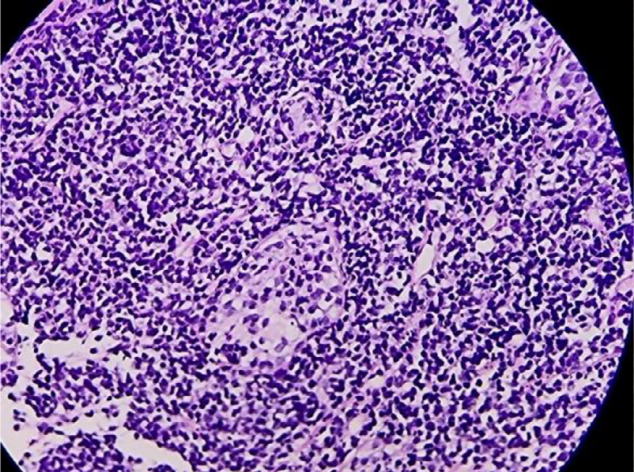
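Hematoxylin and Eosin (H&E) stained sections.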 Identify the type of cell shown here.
Small- to medium-sized lymphoid population.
